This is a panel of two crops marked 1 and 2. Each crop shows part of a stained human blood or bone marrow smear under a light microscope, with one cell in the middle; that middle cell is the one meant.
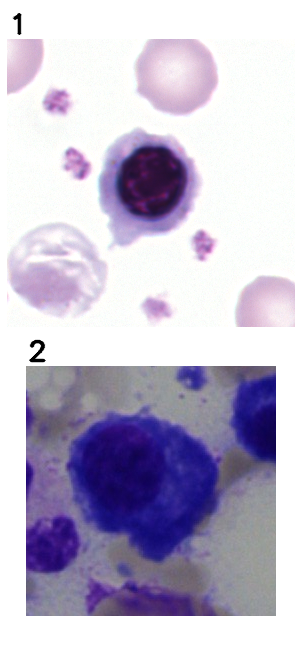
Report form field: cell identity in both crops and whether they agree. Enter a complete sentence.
No, the cell in crop 1 is an erythroblast and the one in crop 2 is a plasma cell.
